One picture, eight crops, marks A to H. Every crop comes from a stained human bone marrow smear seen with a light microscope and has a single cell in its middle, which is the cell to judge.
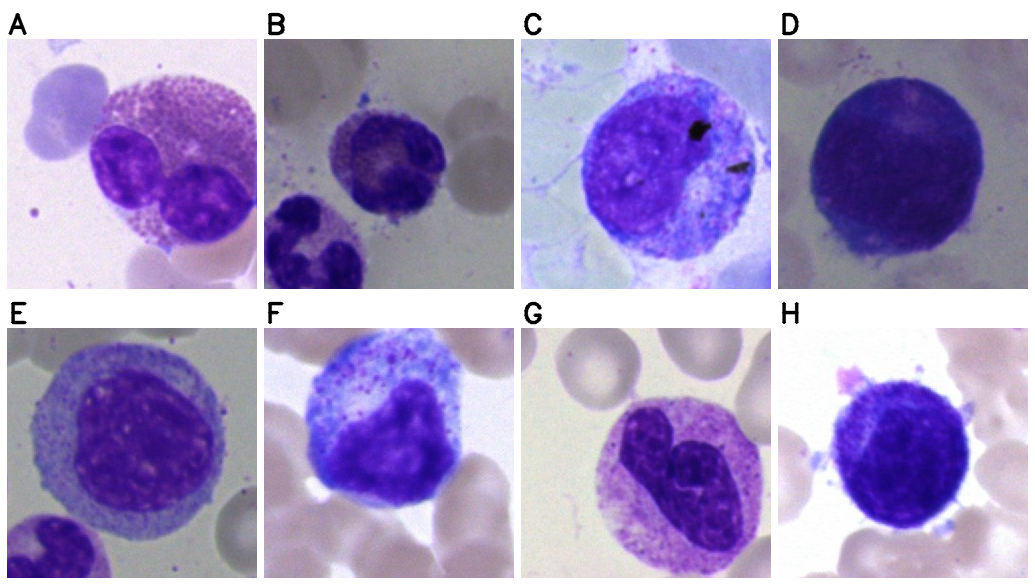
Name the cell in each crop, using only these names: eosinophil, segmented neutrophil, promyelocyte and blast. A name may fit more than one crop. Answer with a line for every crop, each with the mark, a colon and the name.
A: eosinophil
B: eosinophil
C: promyelocyte
D: blast
E: promyelocyte
F: promyelocyte
G: segmented neutrophil
H: promyelocyte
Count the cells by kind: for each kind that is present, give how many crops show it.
promyelocyte: 4
eosinophil: 2
blast: 1
segmented neutrophil: 1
